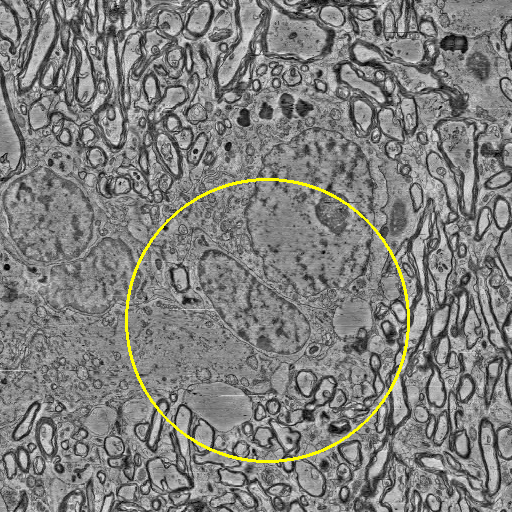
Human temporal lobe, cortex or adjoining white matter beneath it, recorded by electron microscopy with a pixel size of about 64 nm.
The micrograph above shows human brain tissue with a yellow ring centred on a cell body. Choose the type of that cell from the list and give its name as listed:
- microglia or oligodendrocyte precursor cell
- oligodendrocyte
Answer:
microglia or oligodendrocyte precursor cell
